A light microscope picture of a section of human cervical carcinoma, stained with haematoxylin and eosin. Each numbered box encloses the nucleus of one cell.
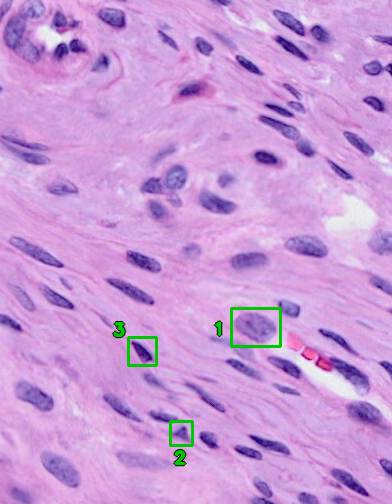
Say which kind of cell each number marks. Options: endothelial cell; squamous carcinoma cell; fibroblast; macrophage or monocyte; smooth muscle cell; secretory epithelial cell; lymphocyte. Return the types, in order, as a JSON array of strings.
["endothelial cell", "fibroblast", "fibroblast"]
